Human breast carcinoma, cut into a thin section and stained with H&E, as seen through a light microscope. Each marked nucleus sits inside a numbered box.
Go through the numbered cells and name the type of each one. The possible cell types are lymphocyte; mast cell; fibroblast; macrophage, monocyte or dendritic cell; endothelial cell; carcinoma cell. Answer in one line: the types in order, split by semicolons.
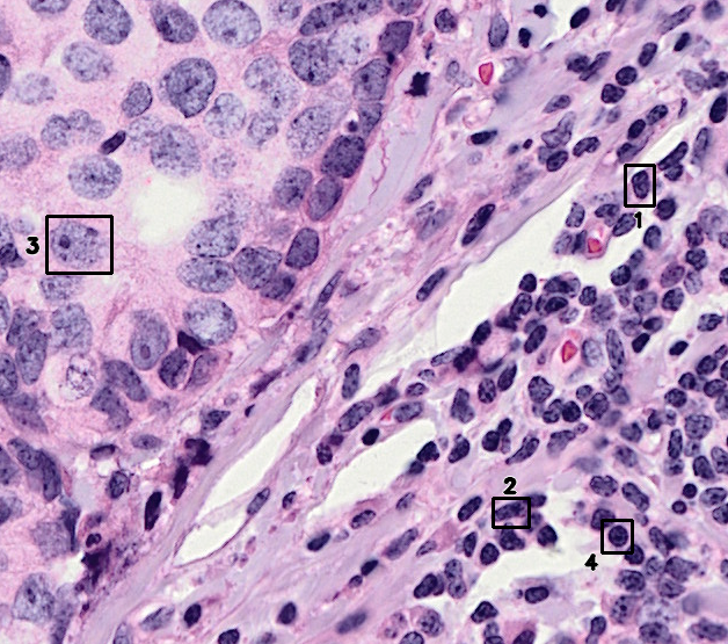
lymphocyte; lymphocyte; carcinoma cell; lymphocyte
